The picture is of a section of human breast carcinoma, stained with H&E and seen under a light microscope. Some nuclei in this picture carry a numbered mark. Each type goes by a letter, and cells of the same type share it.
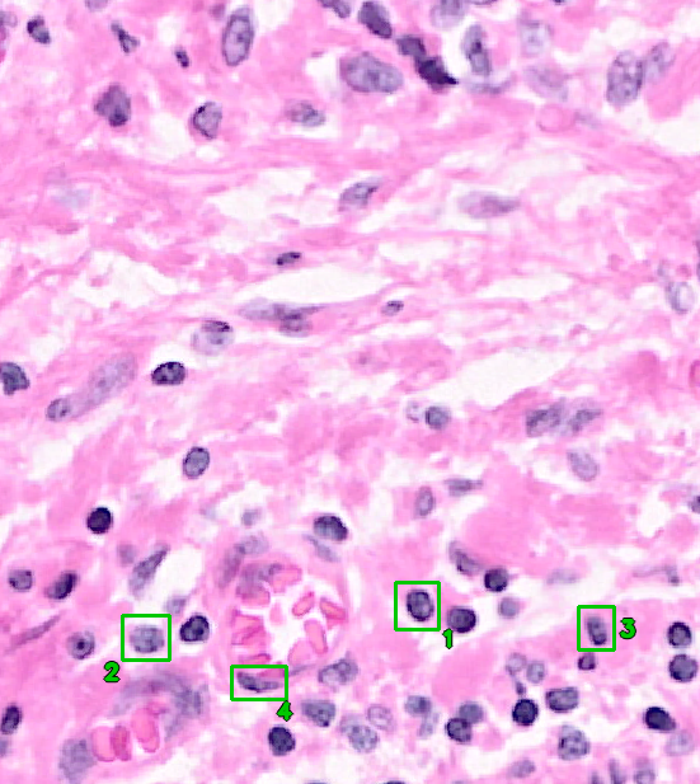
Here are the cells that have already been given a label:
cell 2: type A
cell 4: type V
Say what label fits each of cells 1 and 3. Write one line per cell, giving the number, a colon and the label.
1: type A
3: type A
